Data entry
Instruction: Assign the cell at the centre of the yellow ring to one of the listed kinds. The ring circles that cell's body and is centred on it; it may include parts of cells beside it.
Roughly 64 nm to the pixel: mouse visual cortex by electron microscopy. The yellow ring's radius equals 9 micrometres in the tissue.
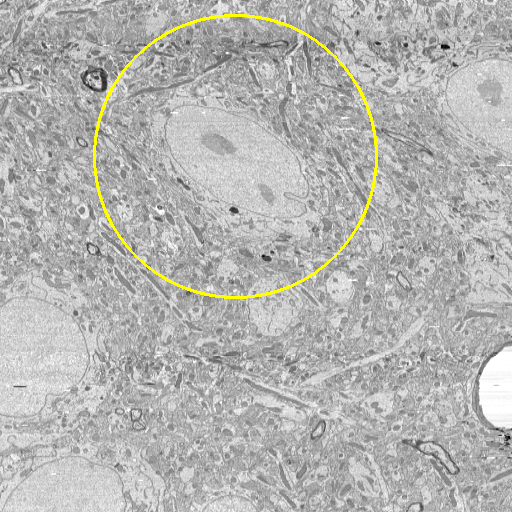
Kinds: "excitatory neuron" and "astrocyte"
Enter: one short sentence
The centre of the ring falls on an excitatory neuron.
